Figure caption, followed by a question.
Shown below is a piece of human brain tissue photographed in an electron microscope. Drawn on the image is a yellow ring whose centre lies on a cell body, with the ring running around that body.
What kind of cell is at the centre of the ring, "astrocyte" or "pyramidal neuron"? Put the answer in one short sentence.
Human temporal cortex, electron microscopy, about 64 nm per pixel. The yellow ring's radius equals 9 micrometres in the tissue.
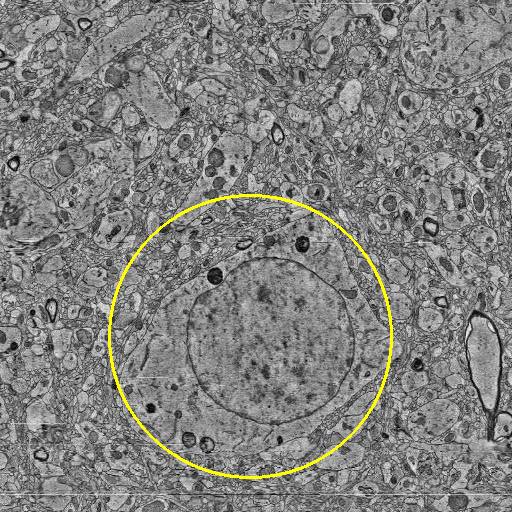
The ring marks the cell body of a pyramidal neuron.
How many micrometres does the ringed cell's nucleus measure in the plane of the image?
In this plane, the nucleus of the cell at the centre of the ring is about 11 micrometres across.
